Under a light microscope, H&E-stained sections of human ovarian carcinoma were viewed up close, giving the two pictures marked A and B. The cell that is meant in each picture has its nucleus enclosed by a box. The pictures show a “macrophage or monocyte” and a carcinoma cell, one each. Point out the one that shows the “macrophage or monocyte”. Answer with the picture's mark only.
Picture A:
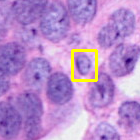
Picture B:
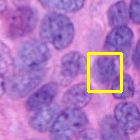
A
